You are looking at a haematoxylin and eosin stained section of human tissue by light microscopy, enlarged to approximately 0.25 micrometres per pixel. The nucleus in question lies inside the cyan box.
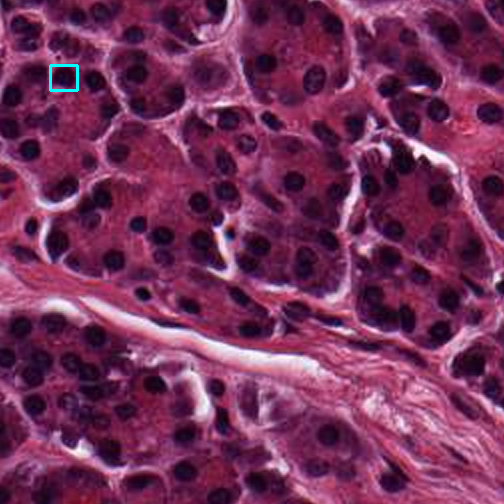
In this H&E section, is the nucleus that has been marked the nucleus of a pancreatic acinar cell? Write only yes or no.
yes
